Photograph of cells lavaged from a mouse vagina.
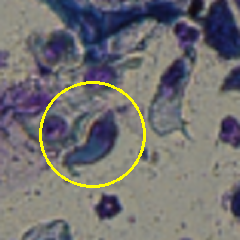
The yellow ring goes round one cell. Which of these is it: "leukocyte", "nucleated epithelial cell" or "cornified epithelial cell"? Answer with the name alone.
nucleated epithelial cell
